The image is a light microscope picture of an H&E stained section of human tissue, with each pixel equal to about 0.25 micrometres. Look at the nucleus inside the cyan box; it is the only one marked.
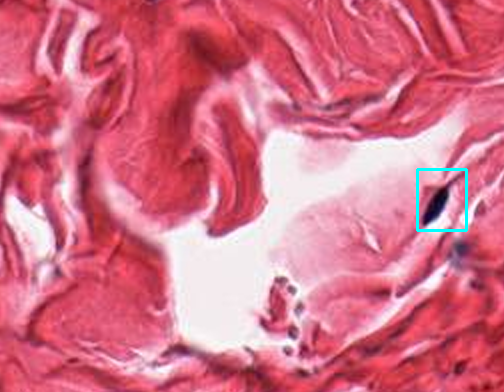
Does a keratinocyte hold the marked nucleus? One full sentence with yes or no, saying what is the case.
No, a keratinocyte is not the cell of the marked nucleus; a supporting cell is.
